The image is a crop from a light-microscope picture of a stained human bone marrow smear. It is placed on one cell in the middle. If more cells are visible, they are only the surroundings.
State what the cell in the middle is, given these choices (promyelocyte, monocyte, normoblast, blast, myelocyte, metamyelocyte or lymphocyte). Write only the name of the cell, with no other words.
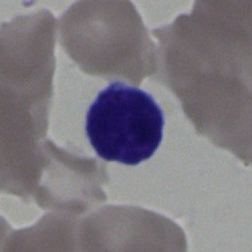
lymphocyte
